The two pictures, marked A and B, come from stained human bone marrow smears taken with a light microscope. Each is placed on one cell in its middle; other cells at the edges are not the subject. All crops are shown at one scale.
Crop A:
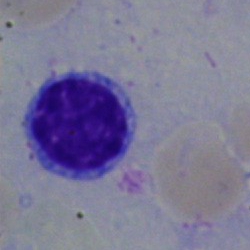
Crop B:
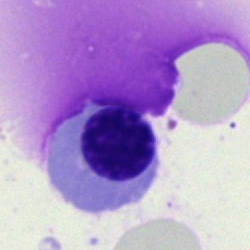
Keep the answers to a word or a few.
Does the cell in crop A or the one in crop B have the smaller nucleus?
B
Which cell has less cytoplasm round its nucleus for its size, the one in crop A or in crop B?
A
